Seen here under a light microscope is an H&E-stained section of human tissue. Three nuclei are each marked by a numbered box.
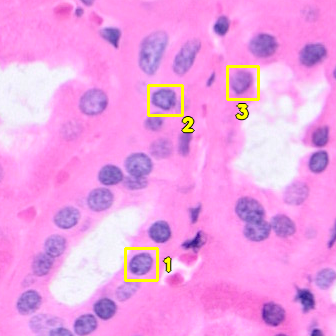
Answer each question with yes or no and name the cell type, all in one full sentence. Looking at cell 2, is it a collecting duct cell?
Yes, the cell identified by number 2 is a collecting duct cell.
